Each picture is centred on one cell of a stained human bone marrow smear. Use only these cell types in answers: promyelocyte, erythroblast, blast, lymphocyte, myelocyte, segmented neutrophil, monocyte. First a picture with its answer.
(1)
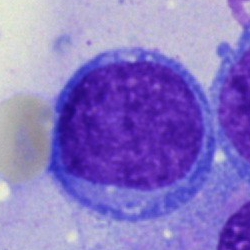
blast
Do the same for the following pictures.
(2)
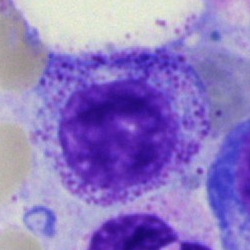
myelocyte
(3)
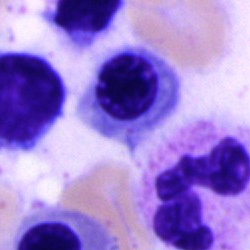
erythroblast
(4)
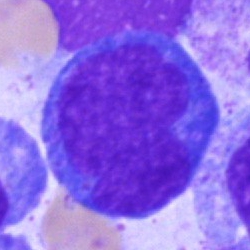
blast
